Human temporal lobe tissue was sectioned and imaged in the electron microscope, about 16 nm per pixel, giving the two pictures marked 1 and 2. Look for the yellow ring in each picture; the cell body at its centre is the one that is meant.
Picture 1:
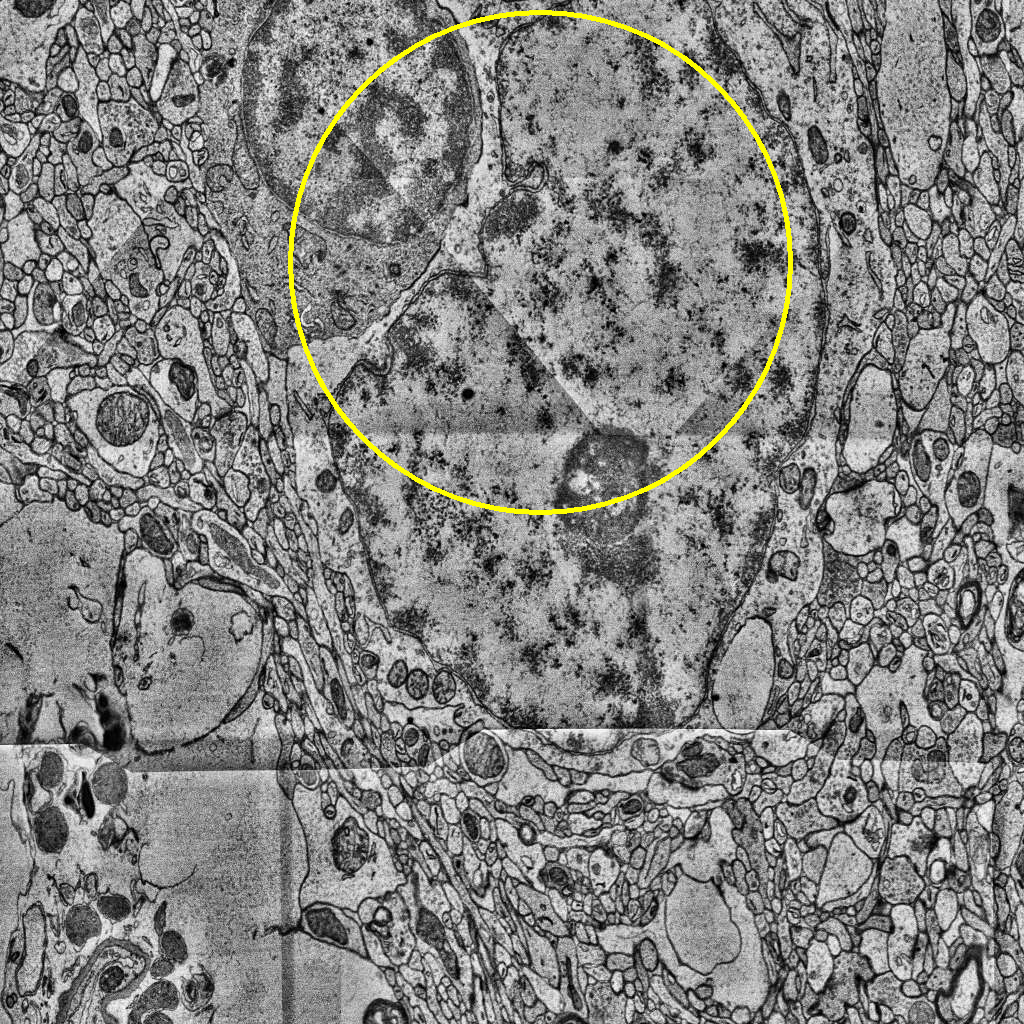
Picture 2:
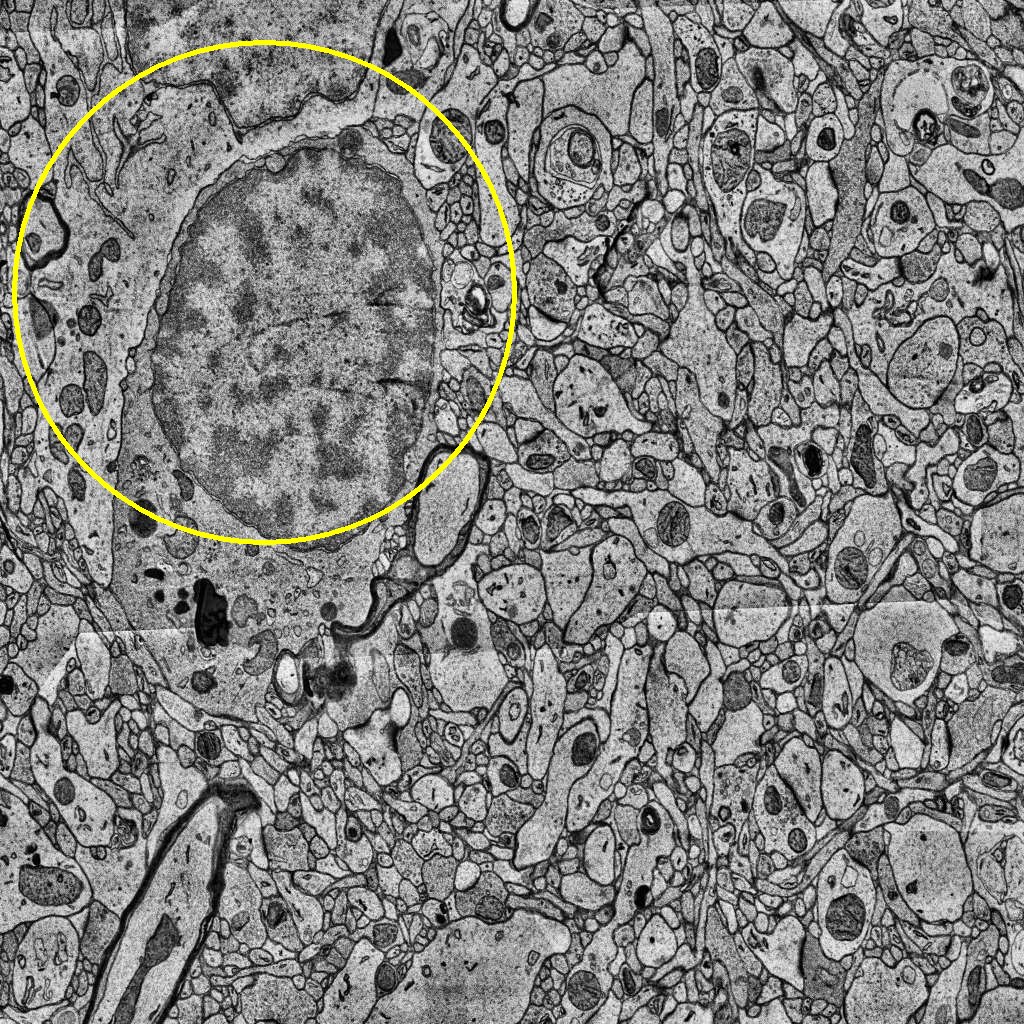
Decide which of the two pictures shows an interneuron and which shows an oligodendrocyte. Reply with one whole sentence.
Picture 1 shows an interneuron and picture 2 shows an oligodendrocyte.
